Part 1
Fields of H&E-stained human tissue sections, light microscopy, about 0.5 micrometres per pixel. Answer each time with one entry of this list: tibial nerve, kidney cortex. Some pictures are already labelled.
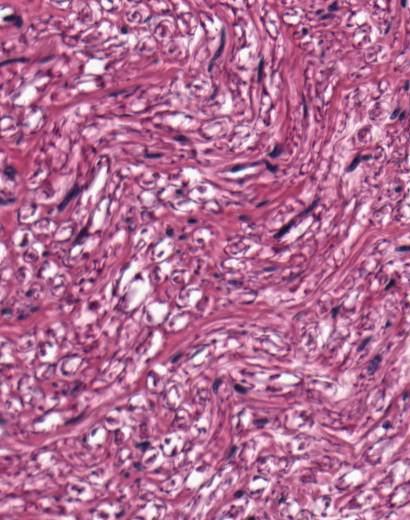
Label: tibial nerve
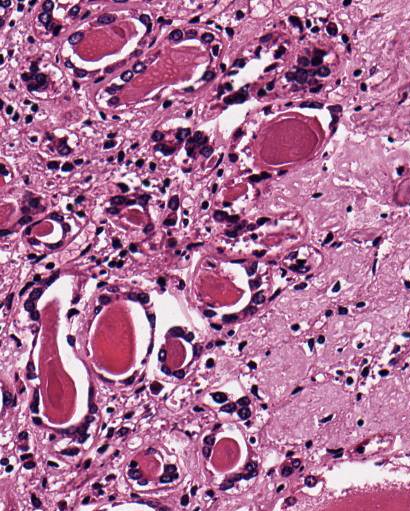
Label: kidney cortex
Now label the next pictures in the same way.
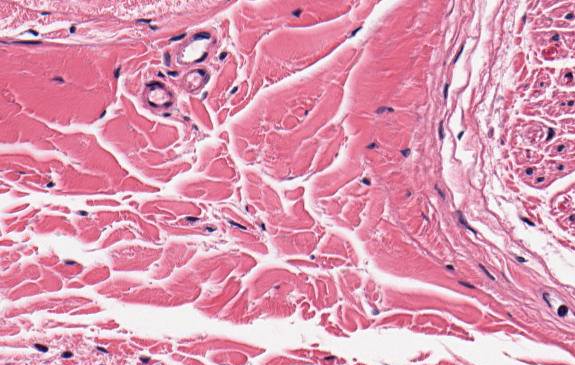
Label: tibial nerve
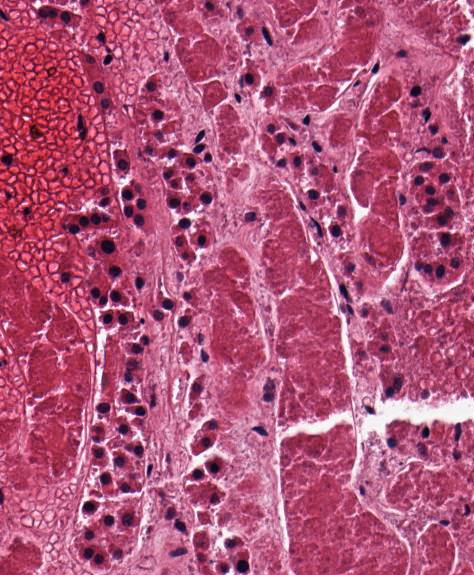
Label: kidney cortex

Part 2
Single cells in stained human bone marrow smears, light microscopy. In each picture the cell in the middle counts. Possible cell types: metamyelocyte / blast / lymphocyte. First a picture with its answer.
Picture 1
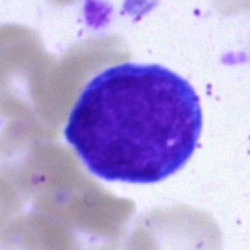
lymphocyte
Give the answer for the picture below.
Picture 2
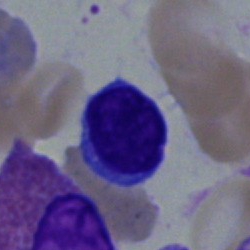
lymphocyte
